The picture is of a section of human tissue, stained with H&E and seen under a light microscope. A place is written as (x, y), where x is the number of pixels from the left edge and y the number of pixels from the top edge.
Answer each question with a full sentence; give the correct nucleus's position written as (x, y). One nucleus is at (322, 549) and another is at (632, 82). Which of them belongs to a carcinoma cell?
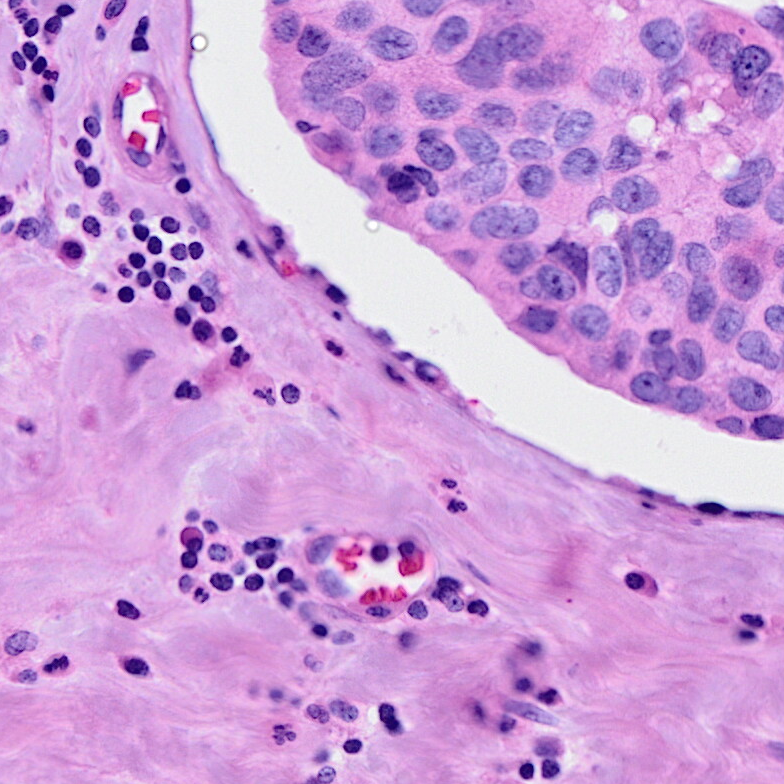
The nucleus situated at (632, 82) is the one belonging to a carcinoma cell.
